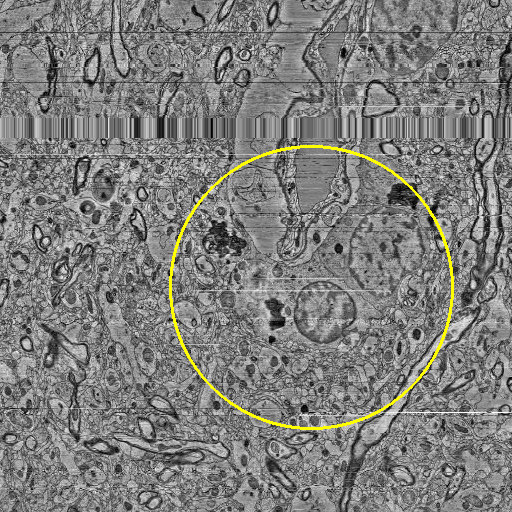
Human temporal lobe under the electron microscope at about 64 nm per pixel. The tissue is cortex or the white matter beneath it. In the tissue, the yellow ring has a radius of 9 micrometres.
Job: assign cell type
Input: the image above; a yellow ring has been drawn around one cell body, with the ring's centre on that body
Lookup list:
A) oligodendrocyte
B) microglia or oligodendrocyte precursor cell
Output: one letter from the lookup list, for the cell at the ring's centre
A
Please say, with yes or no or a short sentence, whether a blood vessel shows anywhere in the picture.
Yes, one appears.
